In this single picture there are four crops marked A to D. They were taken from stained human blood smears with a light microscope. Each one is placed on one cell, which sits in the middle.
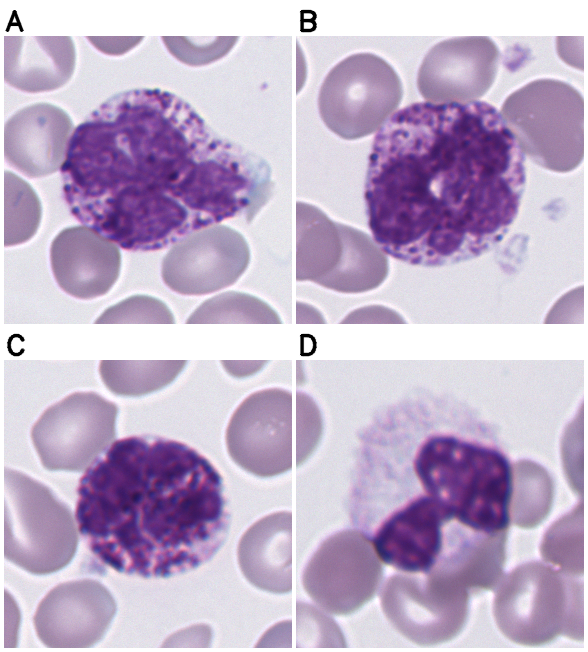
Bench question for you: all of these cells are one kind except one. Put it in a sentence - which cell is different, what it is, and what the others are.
The exception is crop D: it is a segmented neutrophil, and the others are all basophils.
